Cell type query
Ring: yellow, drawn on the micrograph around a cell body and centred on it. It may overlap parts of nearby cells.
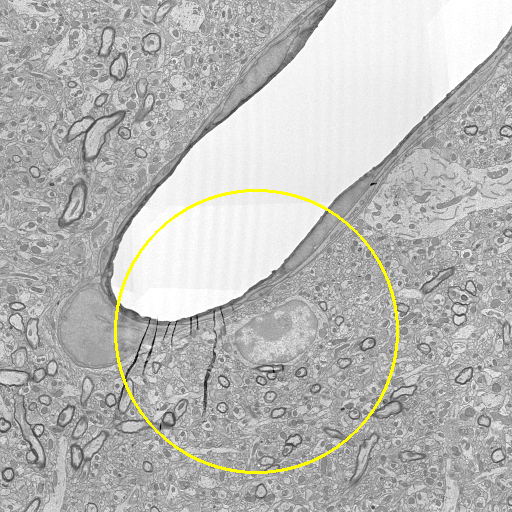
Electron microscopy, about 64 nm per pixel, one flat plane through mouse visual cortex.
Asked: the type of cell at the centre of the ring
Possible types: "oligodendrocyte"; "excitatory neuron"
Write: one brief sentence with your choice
The ring marks an oligodendrocyte.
